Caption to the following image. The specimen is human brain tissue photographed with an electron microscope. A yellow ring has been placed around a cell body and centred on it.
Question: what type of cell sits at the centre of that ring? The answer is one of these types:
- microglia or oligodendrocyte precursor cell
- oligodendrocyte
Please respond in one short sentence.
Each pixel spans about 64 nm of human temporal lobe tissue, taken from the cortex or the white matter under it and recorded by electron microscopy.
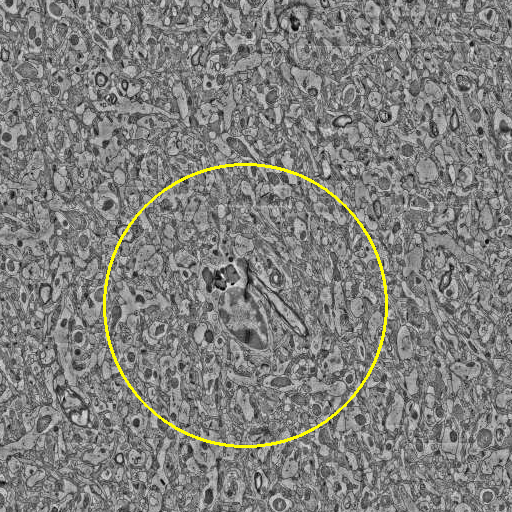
The ring surrounds the cell body of a microglial cell or oligodendrocyte precursor cell.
